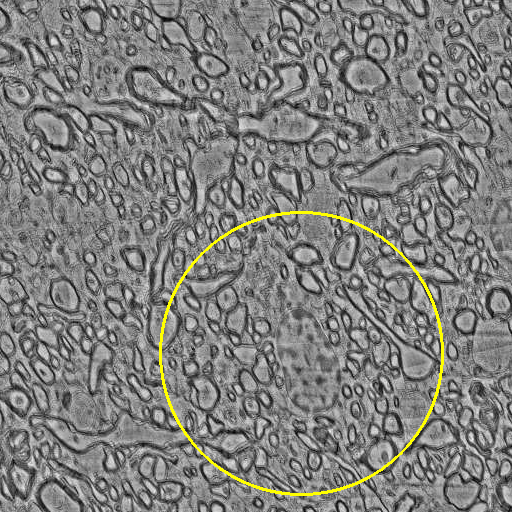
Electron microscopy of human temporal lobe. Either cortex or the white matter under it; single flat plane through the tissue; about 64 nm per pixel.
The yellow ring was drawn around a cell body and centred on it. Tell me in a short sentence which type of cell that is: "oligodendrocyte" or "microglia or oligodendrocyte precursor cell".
The cell at the ring's centre is a microglial cell or oligodendrocyte precursor cell.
